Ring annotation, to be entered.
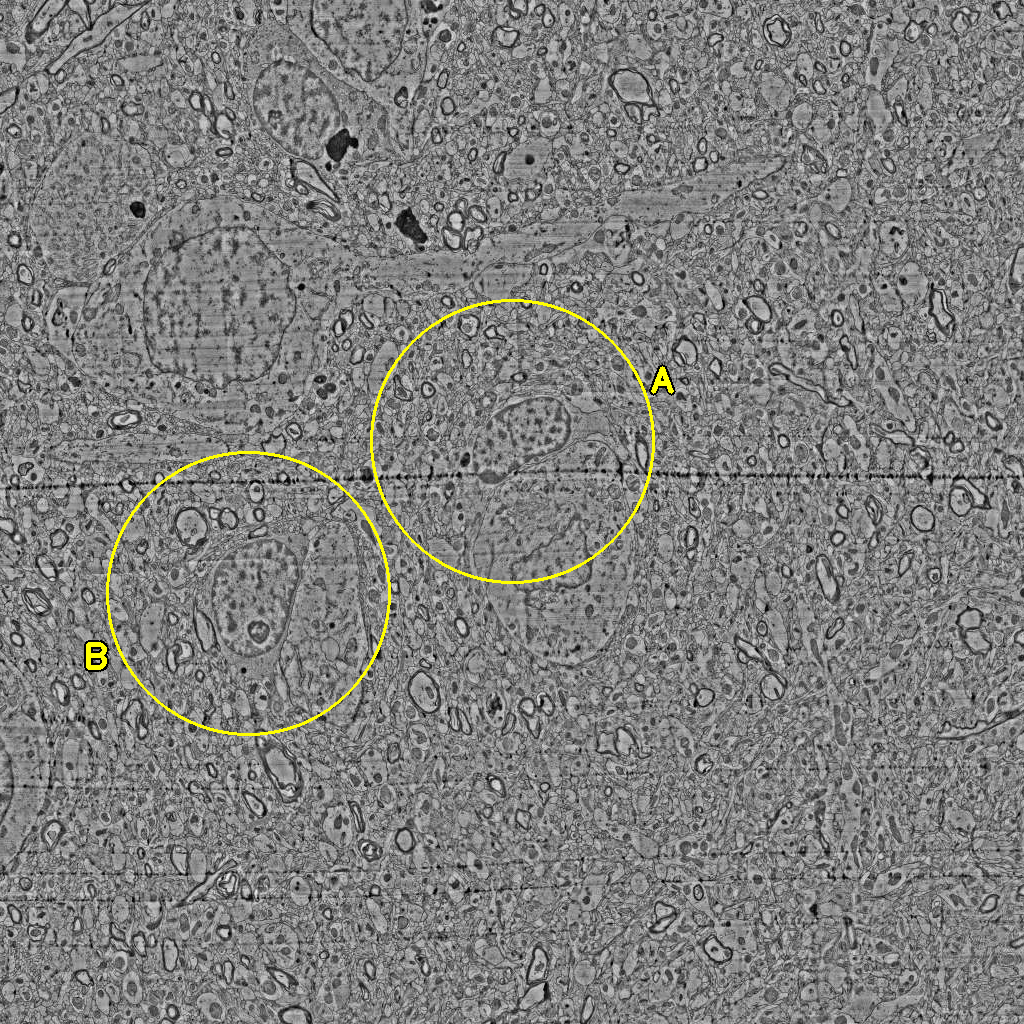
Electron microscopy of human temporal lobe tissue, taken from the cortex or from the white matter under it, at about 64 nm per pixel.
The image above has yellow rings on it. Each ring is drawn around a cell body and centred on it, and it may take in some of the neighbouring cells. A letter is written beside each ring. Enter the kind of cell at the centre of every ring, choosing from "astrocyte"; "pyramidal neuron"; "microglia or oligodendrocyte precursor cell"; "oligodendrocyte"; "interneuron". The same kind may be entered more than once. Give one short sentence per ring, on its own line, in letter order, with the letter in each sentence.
The ring marked A is centred on a microglial cell or oligodendrocyte precursor cell.
The ring marked B is centred on an oligodendrocyte.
